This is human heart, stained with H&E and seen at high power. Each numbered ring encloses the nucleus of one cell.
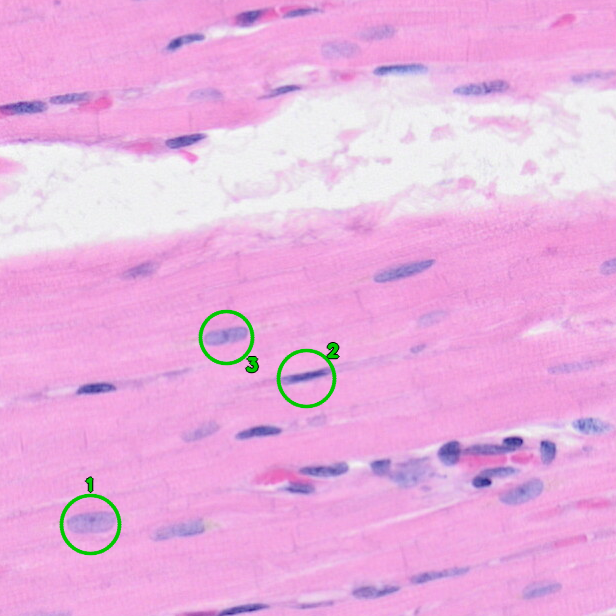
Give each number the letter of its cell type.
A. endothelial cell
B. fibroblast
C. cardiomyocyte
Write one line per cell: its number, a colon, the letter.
1: C
2: A
3: C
